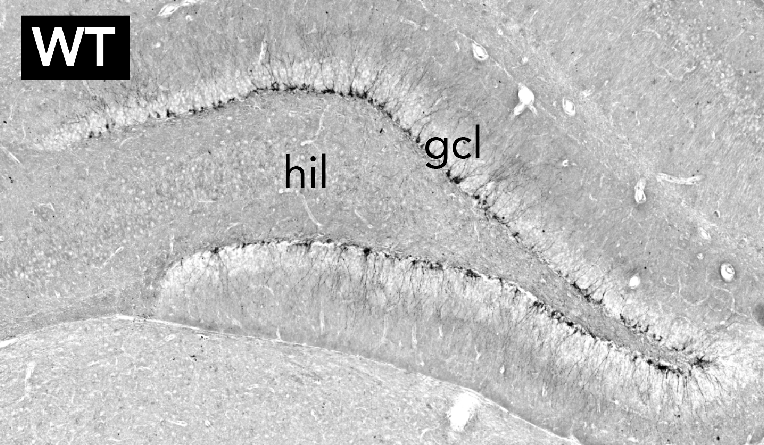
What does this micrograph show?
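The section shows the granule cell layer as two pale, curved blades enclosing the hilus between them. A dense row of darkly stained small cell bodies lies along the inner border of the granule cell layer, at its boundary with the hilus, in both blades. From these cells thin dark processes extend radially outward through the granule cell layer into the grey neuropil beyond it. The hilus and surrounding tissue are lightly stained, with scattered pale cell profiles and blood vessels.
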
